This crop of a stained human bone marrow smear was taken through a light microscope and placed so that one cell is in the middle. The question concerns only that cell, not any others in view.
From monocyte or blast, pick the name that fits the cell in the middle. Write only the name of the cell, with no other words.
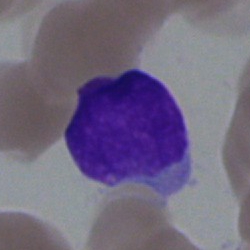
blast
